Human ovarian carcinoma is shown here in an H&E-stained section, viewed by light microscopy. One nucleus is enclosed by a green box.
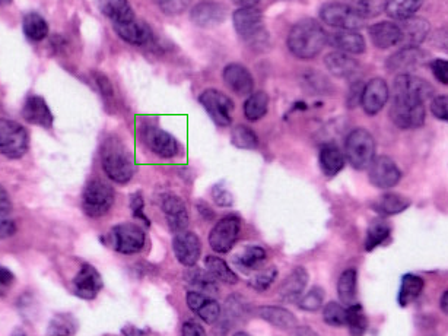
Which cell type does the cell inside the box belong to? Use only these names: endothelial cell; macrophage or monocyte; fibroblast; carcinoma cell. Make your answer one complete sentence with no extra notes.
Within this tissue, the cell inside the box is a carcinoma cell.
